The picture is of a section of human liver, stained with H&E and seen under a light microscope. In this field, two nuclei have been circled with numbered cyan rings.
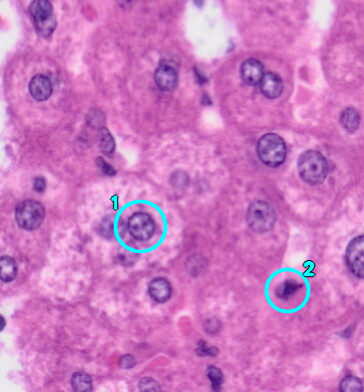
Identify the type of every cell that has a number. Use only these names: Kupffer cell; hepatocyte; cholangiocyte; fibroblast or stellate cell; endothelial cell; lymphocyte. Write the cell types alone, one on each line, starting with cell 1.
hepatocyte
endothelial cell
